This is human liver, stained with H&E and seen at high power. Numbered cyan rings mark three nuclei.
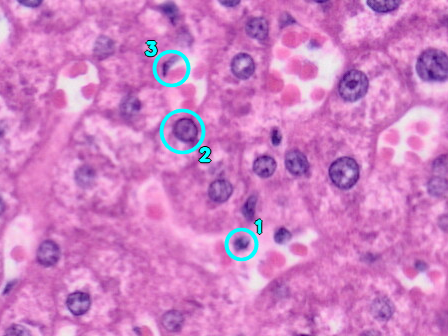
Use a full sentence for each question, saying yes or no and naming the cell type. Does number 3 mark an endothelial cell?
Yes, it is an endothelial cell that number 3 identifies.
